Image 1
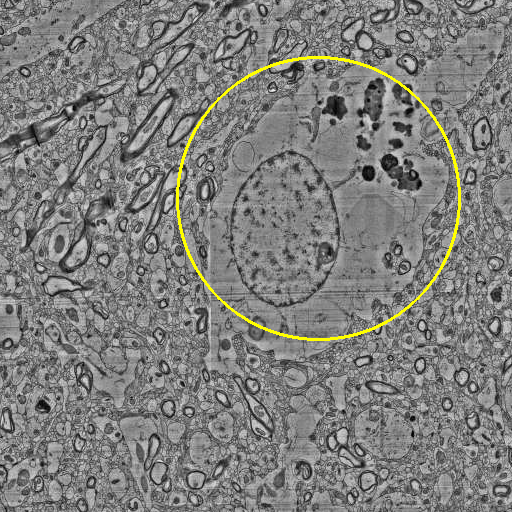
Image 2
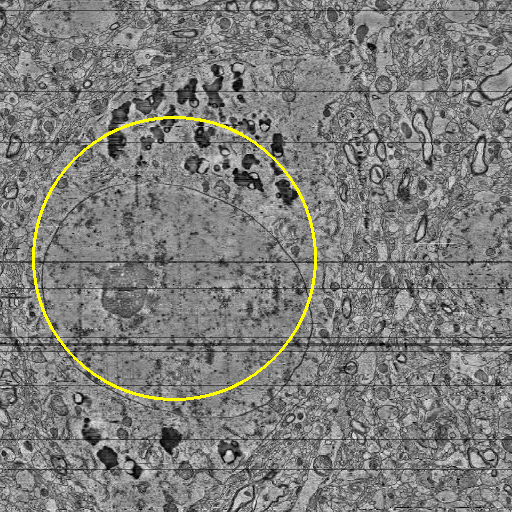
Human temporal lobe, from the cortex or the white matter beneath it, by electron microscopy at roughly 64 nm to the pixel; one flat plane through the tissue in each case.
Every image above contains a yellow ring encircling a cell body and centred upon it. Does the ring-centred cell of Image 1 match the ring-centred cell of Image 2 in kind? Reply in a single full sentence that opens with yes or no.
No, the cell at the ring's centre in Image 1 is a separate kind from that in Image 2.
